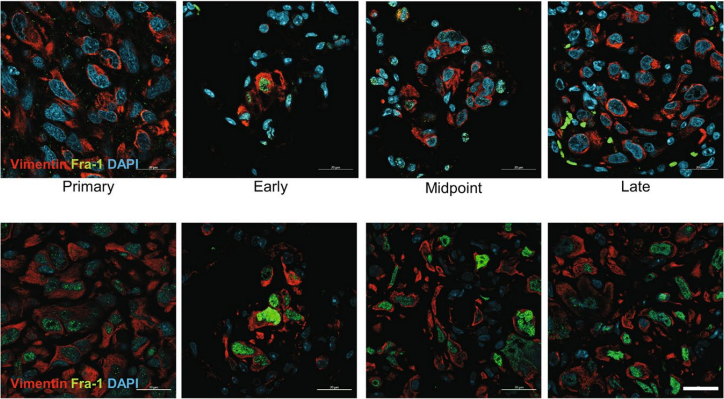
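The tumor cells have large oval blue nuclei, and each is wrapped in a red cytoplasm that often reaches out in irregular, spindly or angular shapes. In some fields the cells are packed closely into a solid sheet; in others only small clusters of red-rimmed cells sit among scattered small blue nuclei of the surrounding tissue. Green lies chiefly within the nuclei of some tumor cells, so that those nuclei look green or green-blue instead of plain blue, and the amount of green differs from field to field.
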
